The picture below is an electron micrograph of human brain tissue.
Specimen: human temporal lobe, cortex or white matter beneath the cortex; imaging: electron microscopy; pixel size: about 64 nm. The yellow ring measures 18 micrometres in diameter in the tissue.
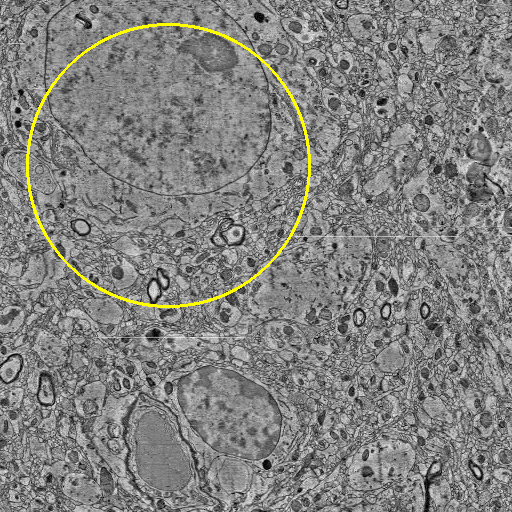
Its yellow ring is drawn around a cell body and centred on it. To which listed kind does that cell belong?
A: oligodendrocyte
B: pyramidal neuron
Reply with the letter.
B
